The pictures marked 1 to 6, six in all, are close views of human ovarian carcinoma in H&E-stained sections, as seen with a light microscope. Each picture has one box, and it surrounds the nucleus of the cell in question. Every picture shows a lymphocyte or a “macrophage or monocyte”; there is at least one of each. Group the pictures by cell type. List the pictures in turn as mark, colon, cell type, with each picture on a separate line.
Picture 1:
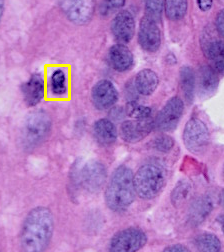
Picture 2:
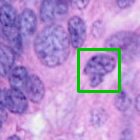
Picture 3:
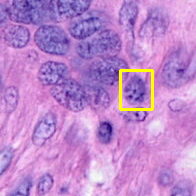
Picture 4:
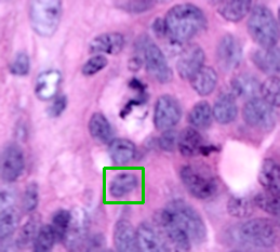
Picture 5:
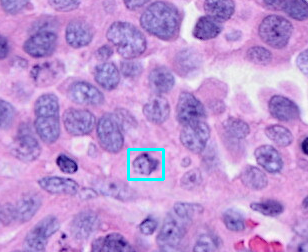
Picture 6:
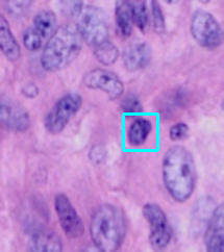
1: lymphocyte
2: macrophage or monocyte
3: macrophage or monocyte
4: macrophage or monocyte
5: macrophage or monocyte
6: lymphocyte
